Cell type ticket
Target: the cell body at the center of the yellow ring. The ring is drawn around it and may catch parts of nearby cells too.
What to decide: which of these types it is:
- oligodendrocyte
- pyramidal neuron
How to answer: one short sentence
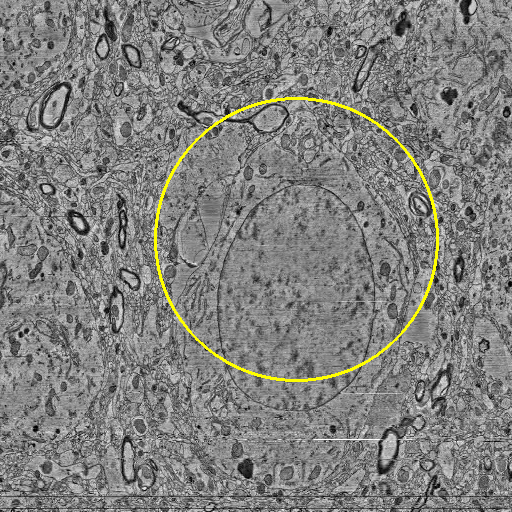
The cell at the center of the ring is a pyramidal neuron.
